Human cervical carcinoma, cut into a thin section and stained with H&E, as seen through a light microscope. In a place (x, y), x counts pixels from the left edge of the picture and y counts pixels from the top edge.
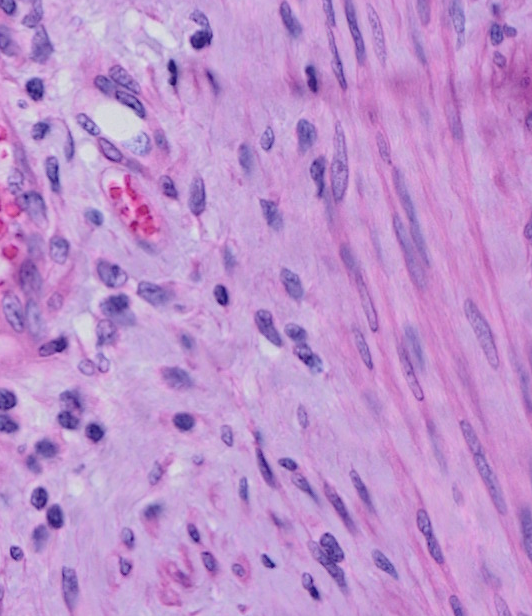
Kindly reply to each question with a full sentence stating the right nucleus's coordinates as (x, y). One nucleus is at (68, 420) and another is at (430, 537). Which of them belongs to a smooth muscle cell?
The cell to which the nucleus at (430, 537) belongs is a smooth muscle cell.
